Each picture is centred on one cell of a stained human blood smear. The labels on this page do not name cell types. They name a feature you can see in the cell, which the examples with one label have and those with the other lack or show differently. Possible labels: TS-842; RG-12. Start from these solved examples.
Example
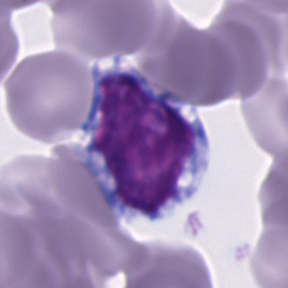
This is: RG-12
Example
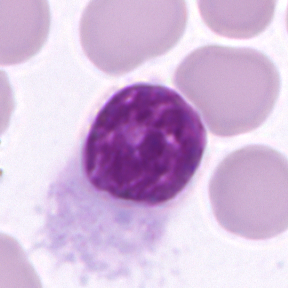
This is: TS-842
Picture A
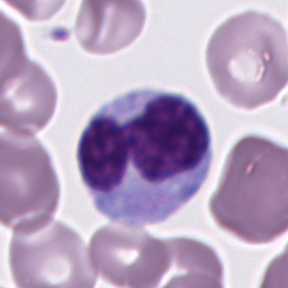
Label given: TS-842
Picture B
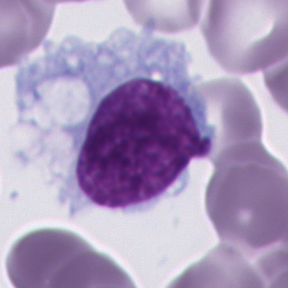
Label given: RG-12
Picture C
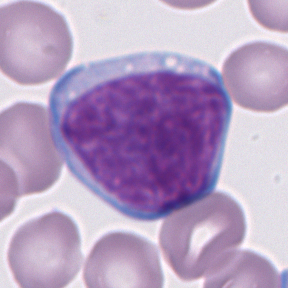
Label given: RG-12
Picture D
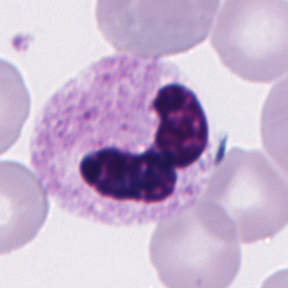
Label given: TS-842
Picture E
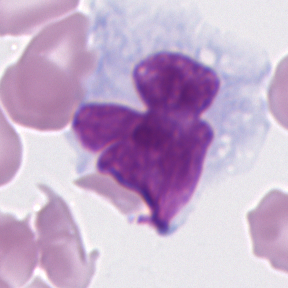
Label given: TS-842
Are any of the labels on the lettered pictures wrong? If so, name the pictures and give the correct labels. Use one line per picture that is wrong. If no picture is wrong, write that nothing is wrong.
E: not TS-842 but RG-12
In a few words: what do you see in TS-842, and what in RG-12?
TS-842: no vacuoles; RG-12: vacuoles present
